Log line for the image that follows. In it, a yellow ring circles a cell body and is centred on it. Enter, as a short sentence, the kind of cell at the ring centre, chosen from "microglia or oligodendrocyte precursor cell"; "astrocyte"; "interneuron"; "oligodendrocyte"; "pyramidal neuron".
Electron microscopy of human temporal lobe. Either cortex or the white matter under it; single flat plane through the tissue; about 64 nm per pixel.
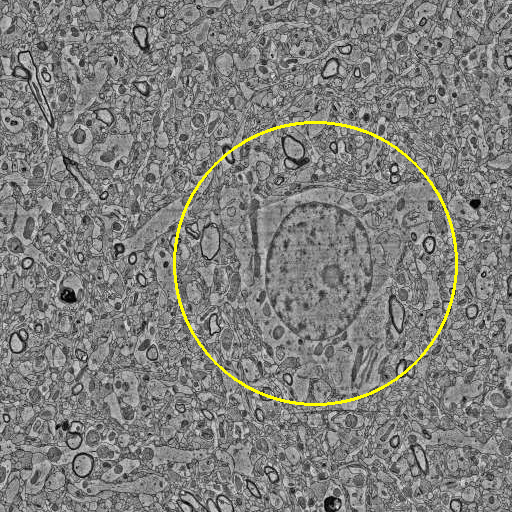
The ring centre is occupied by an astrocyte.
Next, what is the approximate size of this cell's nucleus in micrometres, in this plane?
The nucleus is approximately 9 micrometers long by 7 micrometers wide in this plane.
